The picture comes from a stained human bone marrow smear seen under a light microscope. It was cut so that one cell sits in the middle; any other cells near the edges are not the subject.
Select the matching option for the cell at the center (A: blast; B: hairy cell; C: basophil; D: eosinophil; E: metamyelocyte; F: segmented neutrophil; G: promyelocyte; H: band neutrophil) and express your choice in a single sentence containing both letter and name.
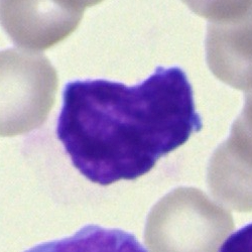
Correctly, option A names the cell in the middle a blast.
